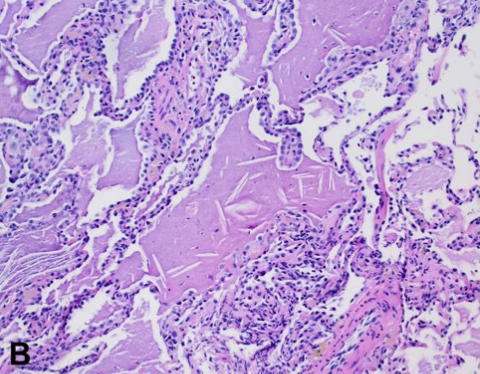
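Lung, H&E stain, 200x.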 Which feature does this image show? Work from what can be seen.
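Cholesterol clefts. Slender empty needle-shaped clefts lie within the pink material.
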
